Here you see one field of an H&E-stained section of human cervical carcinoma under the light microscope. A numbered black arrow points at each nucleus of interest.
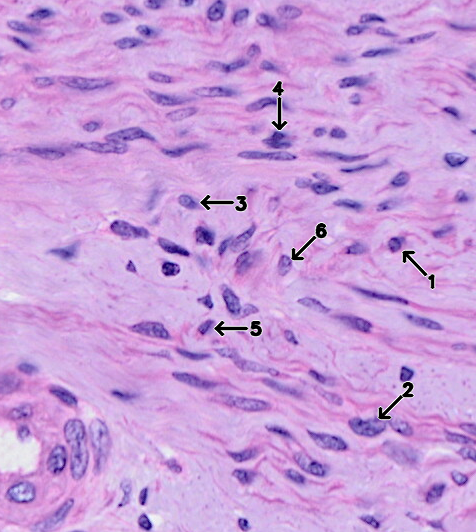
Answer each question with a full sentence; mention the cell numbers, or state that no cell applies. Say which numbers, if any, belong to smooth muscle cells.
The cells identified by the numbers 1, 2, 5 and 6 are smooth muscle cells.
